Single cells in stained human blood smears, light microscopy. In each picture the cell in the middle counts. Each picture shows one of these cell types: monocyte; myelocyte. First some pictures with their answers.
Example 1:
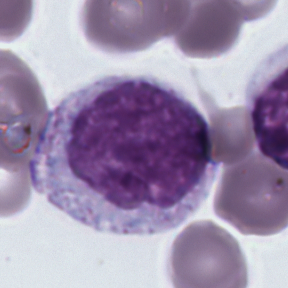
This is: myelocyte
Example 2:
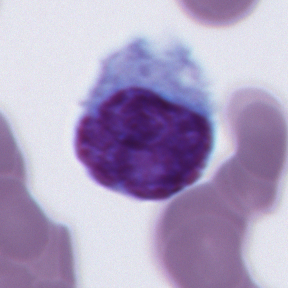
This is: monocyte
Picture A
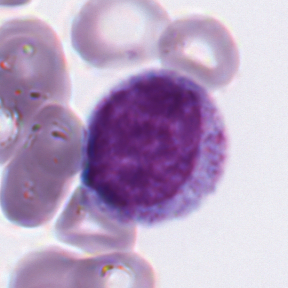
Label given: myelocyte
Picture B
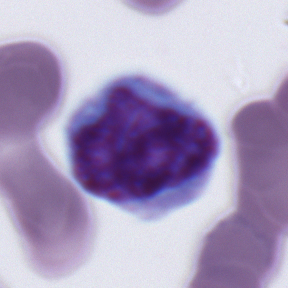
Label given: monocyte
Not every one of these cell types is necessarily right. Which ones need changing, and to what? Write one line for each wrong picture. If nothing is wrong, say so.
All labels are correct.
